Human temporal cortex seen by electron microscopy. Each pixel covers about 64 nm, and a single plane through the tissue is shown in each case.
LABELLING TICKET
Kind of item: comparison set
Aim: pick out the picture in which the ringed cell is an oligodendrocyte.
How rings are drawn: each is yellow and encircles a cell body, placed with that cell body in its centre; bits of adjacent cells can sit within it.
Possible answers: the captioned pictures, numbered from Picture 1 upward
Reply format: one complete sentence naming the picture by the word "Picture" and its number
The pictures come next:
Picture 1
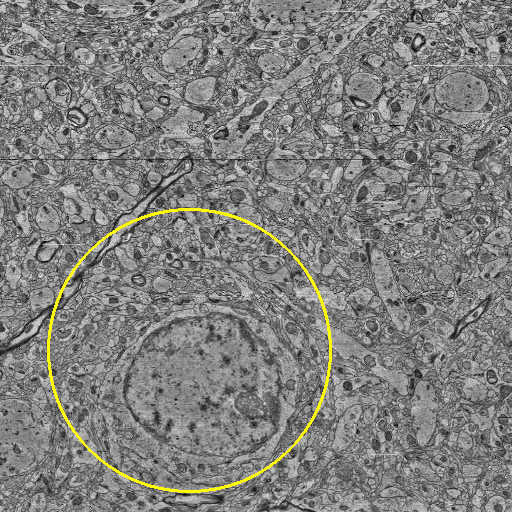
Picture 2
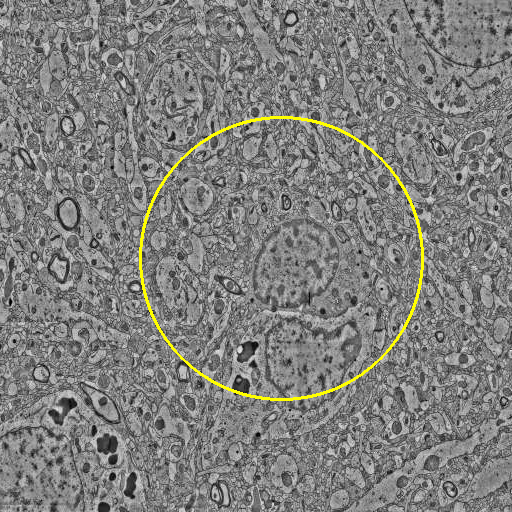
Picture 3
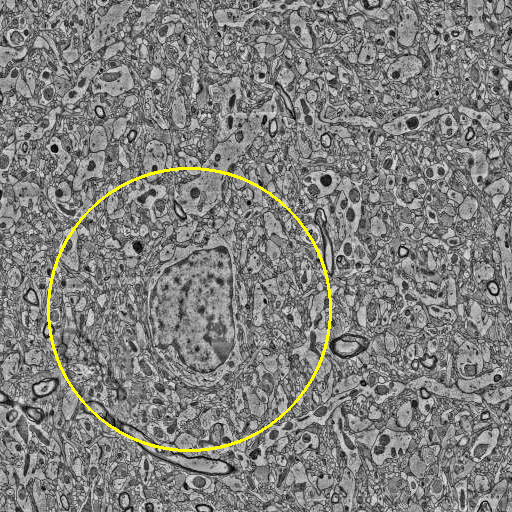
The cell centred inside the yellow ring in Picture 2 is the requested one.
